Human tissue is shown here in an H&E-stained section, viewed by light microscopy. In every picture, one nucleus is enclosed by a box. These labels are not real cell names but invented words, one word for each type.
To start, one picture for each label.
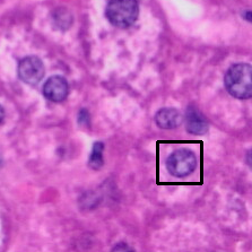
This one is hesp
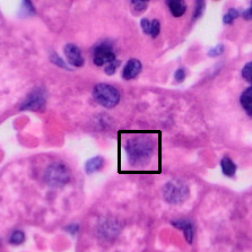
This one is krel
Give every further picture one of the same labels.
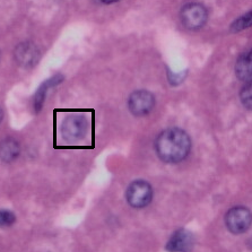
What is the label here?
hesp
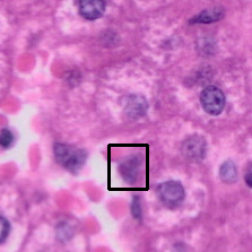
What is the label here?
krel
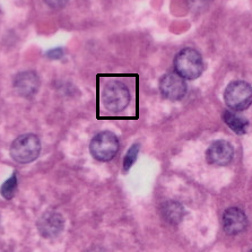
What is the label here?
hesp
